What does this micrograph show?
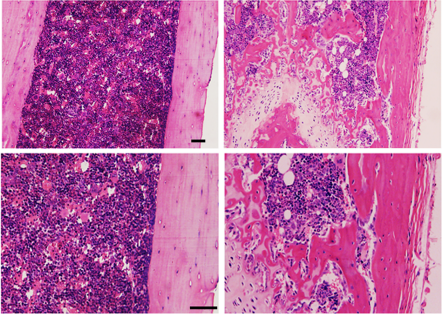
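On the left, the marrow cavity is packed with small, dark purple-nucleated cells and is bordered by a smooth, continuous pink band of compact bone. On the right, the bone is fragmented into irregular pink pieces, and the orderly dense marrow is replaced by patchy clusters of cells lying among the bone fragments.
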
